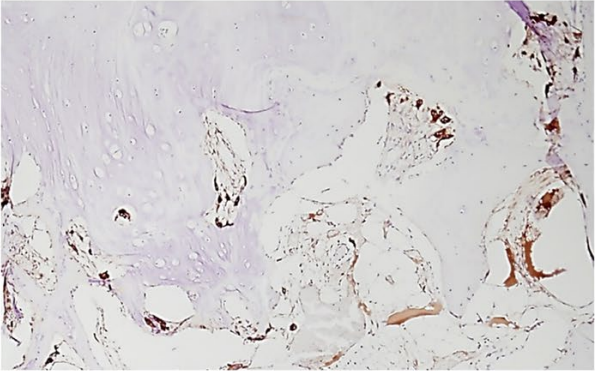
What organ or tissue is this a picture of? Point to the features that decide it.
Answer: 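Pale purple matrix with rounded cells in lacunae. Scattered brown-stained cells in spaces next to the matrix.
Hence: cartilage.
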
